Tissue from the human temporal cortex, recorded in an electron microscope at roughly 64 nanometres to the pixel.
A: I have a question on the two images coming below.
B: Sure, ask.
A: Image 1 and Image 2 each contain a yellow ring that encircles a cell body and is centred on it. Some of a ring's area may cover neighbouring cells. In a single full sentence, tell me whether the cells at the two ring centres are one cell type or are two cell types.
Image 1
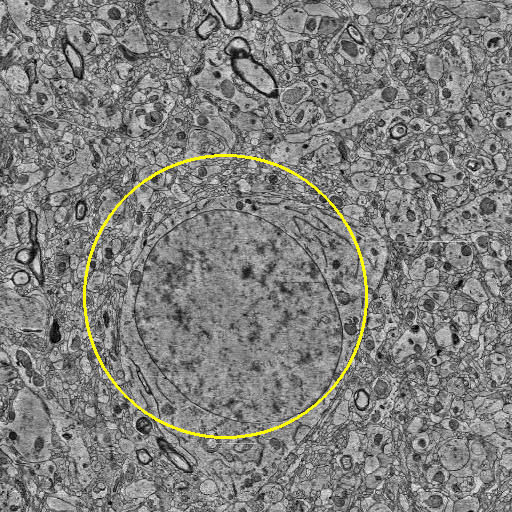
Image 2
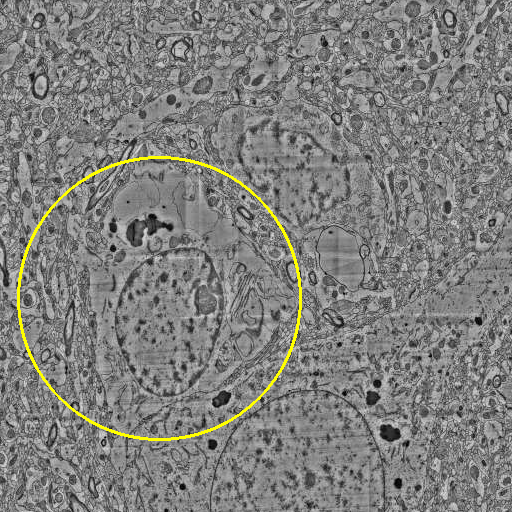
As for the ring-centre cells, the one in Image 1 and the one in Image 2 are two cell types.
